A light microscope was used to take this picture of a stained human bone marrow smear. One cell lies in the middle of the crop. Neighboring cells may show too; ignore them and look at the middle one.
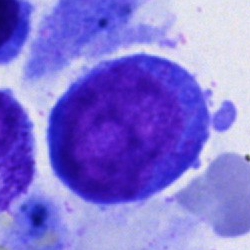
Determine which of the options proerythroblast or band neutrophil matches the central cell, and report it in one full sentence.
Of the cells in this crop, the central one is a proerythroblast.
